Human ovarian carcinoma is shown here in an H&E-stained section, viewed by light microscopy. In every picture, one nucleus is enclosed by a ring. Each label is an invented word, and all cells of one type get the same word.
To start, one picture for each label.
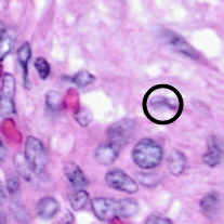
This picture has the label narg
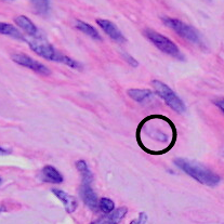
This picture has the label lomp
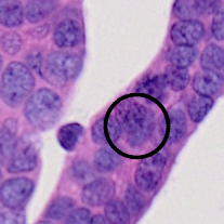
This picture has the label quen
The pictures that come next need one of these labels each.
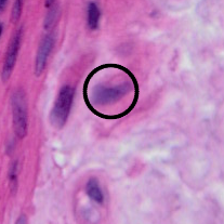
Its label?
lomp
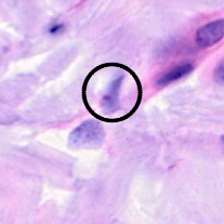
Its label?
narg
